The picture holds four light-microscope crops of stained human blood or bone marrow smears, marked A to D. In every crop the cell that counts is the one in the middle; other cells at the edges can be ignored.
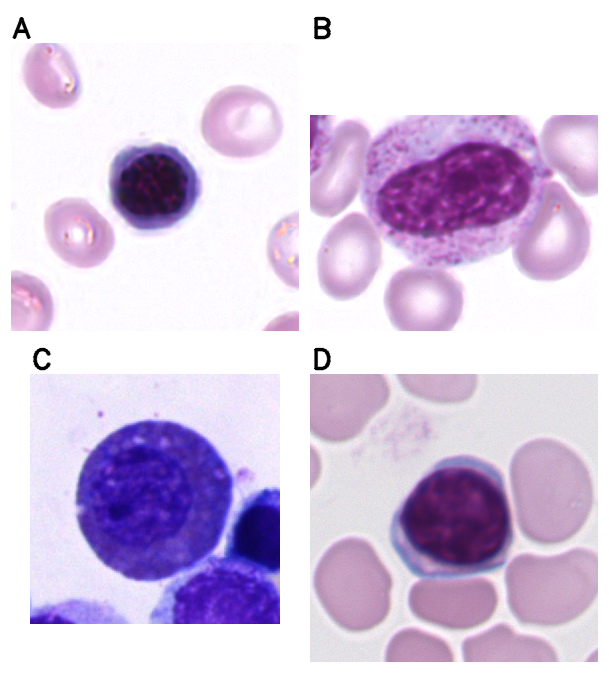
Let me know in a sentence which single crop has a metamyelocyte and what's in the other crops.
In this set, crop B shows a metamyelocyte, whereas crop A is an erythroblast, crop C is an eosinophil and crop D is a lymphocyte.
